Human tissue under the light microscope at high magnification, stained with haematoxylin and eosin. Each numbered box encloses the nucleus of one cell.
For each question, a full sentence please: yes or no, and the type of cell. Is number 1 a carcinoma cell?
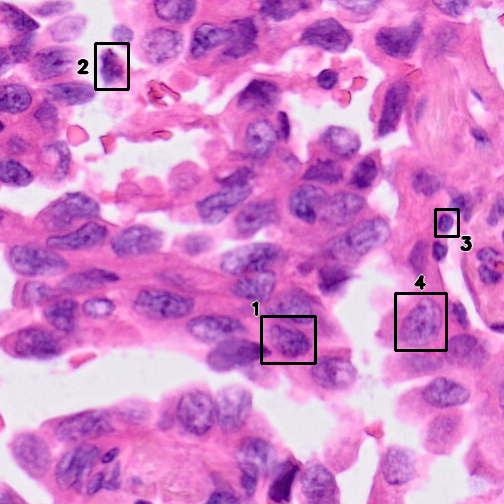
Yes, the numbered nucleus 1 is that of a carcinoma cell.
